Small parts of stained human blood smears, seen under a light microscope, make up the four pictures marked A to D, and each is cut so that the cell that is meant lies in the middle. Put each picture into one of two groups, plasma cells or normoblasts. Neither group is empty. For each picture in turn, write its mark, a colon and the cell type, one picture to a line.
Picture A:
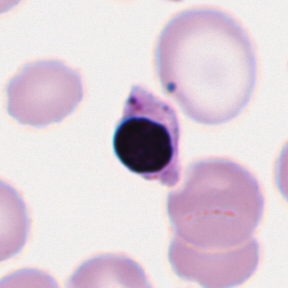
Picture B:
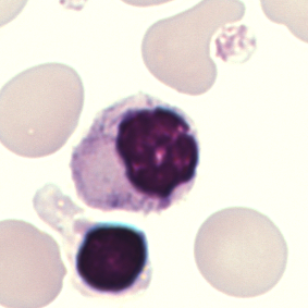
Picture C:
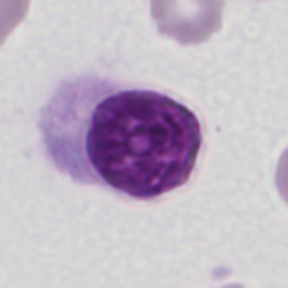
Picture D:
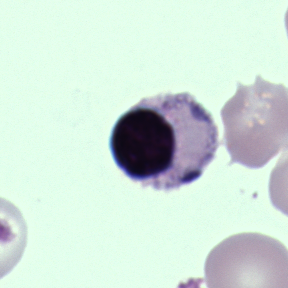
A: normoblast
B: normoblast
C: plasma cell
D: normoblast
